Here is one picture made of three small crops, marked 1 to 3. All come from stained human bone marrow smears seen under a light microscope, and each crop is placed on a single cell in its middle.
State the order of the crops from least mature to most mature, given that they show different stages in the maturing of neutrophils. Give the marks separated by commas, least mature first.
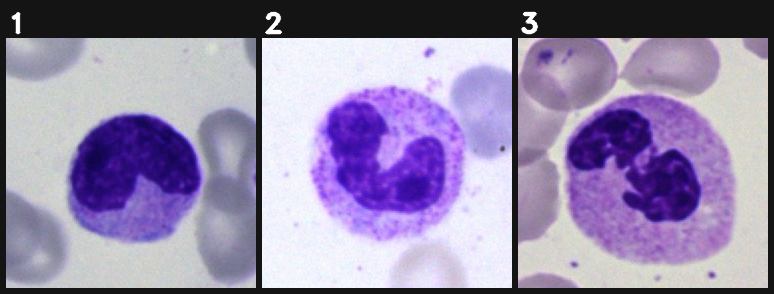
1, 2, 3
